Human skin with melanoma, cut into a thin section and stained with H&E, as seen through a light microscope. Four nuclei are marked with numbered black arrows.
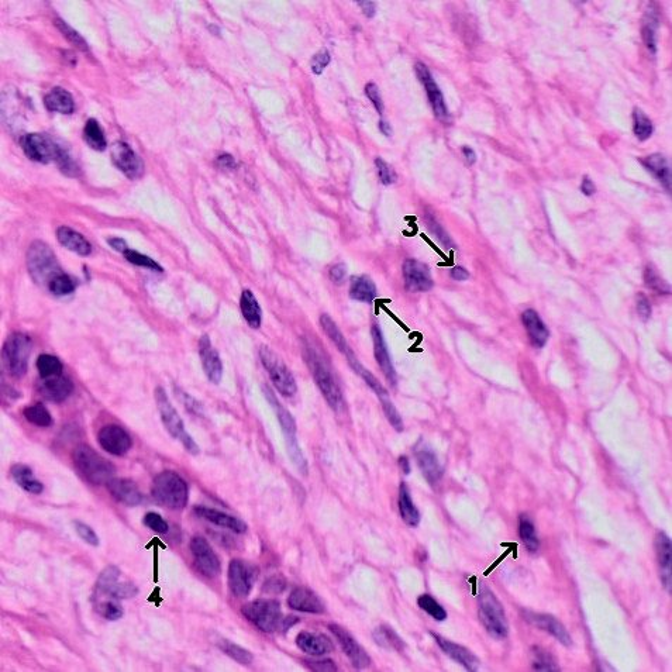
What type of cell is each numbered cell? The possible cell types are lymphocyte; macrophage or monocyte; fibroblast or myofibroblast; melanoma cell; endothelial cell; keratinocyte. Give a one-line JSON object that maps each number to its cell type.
{"1": "macrophage or monocyte", "2": "lymphocyte", "3": "macrophage or monocyte", "4": "lymphocyte"}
